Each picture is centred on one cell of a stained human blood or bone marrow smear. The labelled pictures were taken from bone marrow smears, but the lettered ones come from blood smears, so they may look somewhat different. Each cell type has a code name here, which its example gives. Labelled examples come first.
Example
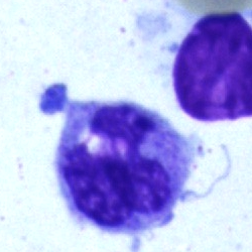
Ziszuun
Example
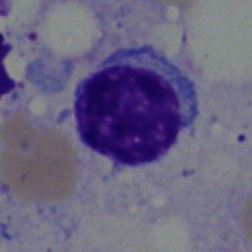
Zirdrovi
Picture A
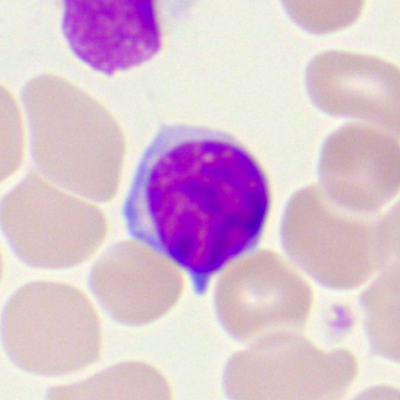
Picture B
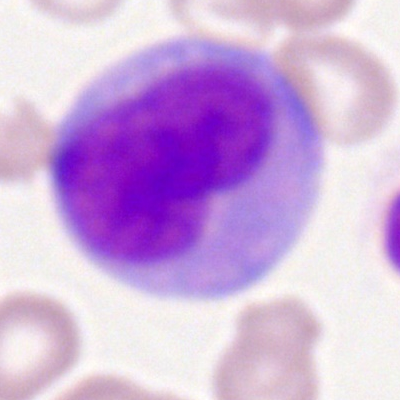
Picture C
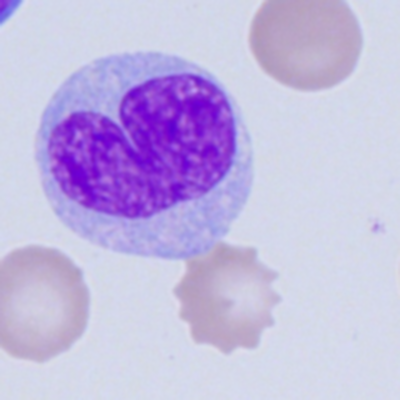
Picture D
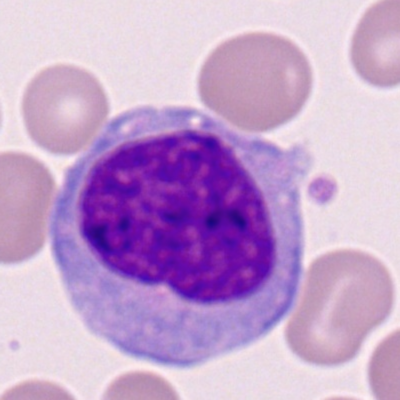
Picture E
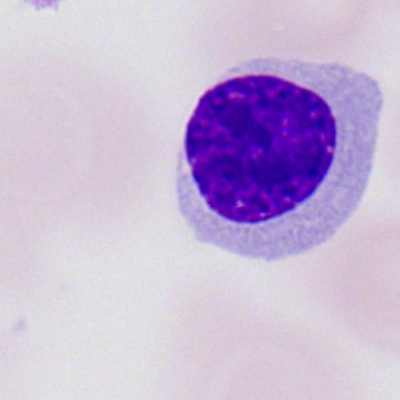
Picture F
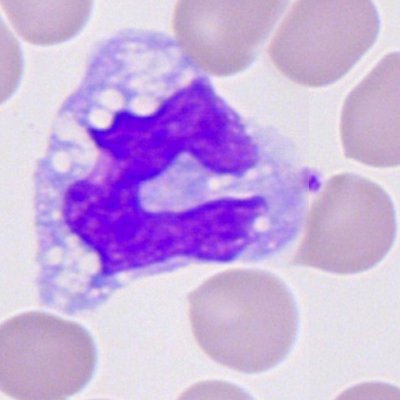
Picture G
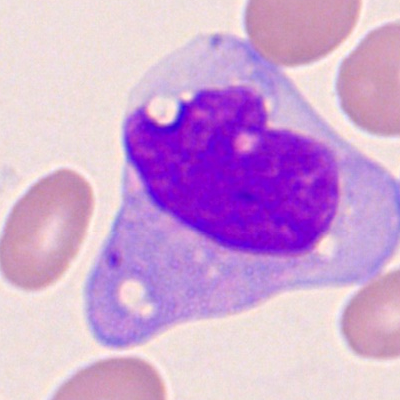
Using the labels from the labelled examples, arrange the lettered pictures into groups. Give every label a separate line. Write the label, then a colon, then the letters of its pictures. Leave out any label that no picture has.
Ziszuun: B, C, D, F, G
Zirdrovi: A, E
